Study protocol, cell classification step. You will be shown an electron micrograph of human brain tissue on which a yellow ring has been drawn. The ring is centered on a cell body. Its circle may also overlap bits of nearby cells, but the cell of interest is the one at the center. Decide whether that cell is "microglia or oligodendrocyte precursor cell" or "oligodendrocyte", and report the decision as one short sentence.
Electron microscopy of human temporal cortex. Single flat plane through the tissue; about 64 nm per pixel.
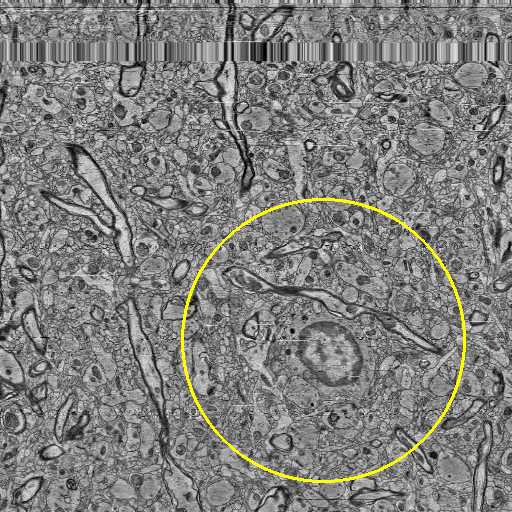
The marked cell is an oligodendrocyte.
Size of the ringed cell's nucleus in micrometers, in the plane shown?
Roughly 5 by 3 micrometres is the size of the nucleus in this plane.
